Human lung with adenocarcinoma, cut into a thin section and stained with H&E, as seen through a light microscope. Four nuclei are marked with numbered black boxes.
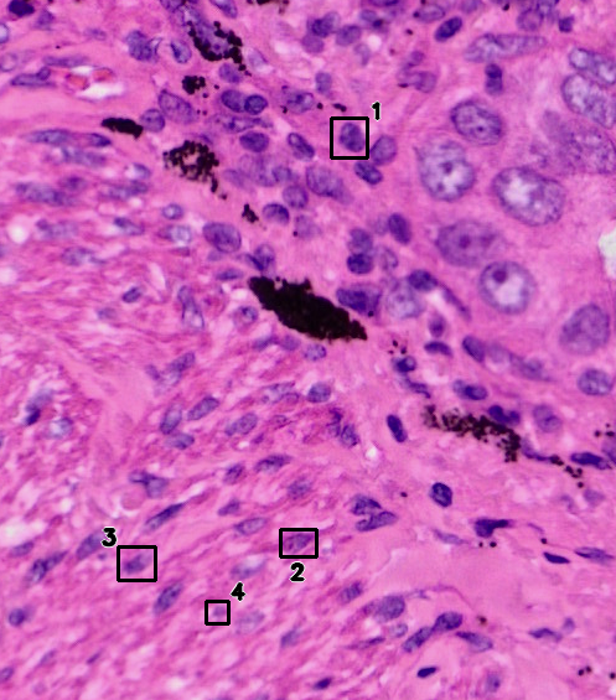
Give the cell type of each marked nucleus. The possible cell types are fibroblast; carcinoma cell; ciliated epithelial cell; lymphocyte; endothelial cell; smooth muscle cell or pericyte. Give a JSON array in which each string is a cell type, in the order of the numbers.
["lymphocyte", "smooth muscle cell or pericyte", "smooth muscle cell or pericyte", "smooth muscle cell or pericyte"]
